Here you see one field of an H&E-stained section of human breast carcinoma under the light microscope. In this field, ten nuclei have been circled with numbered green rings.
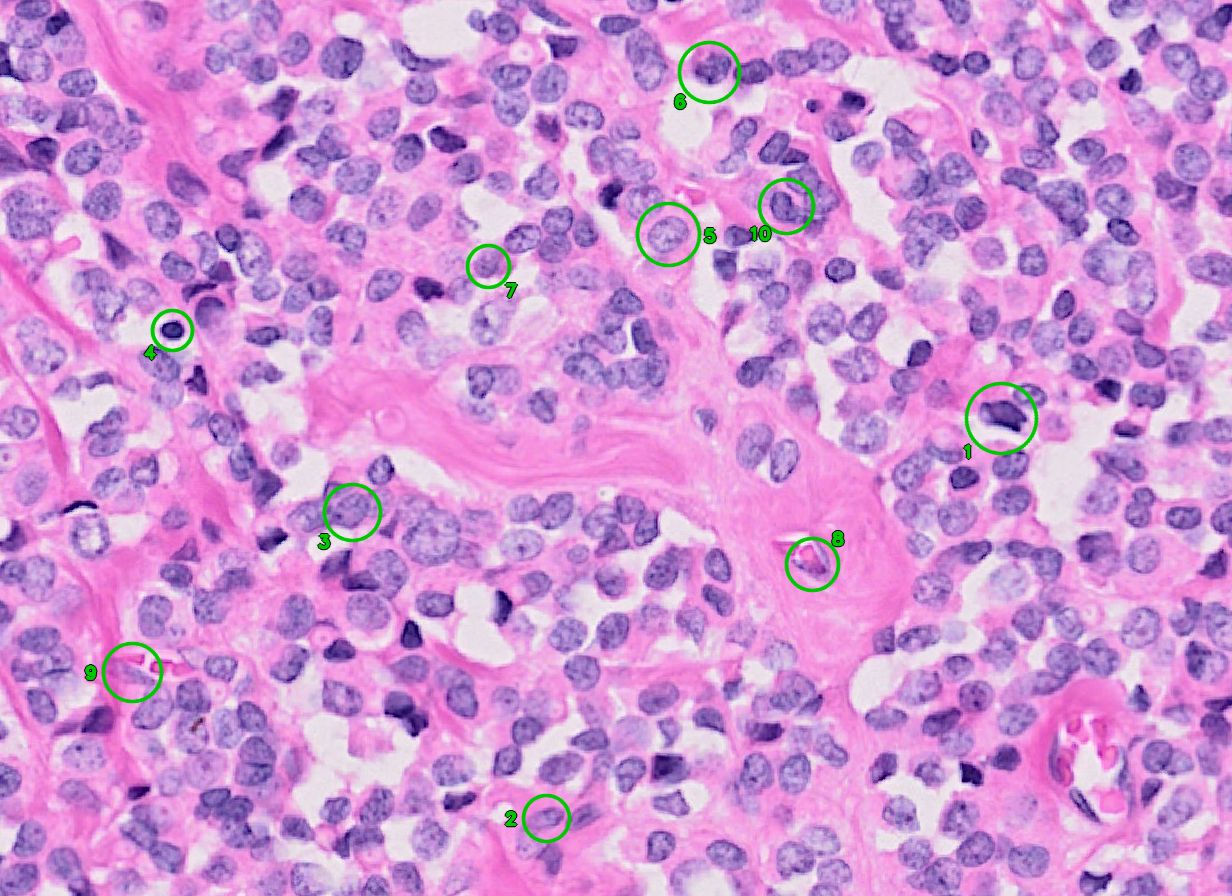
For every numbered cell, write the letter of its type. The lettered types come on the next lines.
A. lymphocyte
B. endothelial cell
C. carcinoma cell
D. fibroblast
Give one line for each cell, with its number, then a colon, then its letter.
1: C
2: B
3: C
4: A
5: C
6: C
7: C
8: B
9: B
10: C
